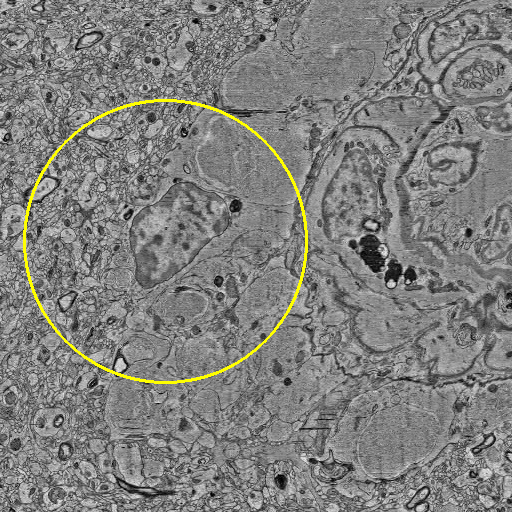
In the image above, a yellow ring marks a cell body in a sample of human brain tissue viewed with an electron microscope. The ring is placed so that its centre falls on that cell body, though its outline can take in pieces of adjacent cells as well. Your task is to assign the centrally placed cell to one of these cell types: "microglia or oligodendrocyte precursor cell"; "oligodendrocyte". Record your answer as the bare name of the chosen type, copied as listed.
microglia or oligodendrocyte precursor cell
